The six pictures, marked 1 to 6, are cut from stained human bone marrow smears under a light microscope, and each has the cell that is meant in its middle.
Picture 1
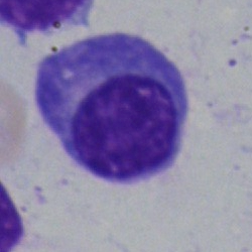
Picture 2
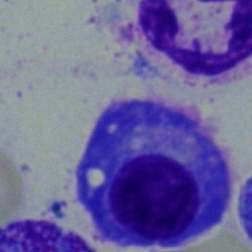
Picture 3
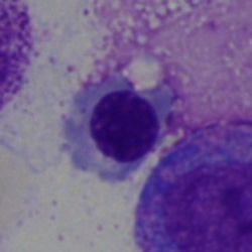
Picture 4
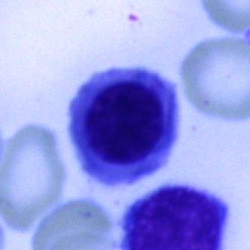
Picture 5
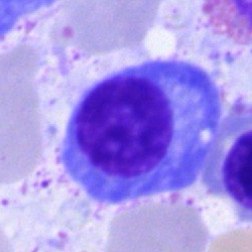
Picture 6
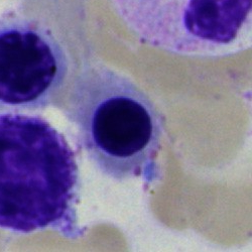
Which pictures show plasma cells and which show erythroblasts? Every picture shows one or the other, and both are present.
1: plasma cell
2: plasma cell
3: erythroblast
4: erythroblast
5: plasma cell
6: erythroblast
